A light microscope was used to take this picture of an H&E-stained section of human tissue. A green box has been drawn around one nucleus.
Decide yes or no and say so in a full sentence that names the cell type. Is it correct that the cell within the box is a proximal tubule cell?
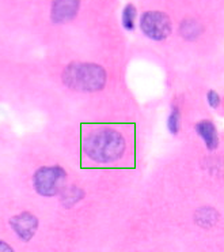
Yes, to put it simply, the cell within the box is a proximal tubule cell.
